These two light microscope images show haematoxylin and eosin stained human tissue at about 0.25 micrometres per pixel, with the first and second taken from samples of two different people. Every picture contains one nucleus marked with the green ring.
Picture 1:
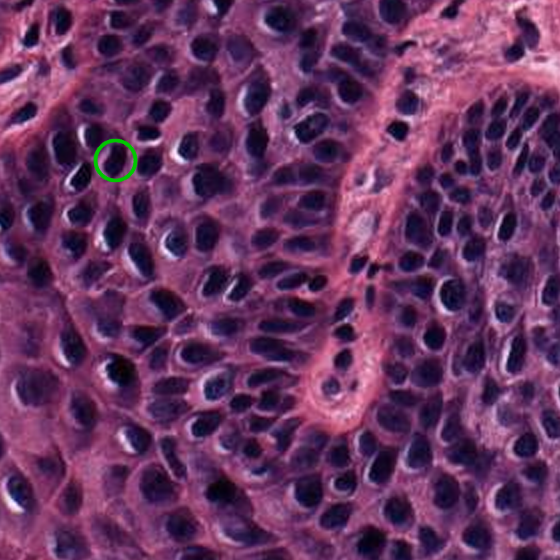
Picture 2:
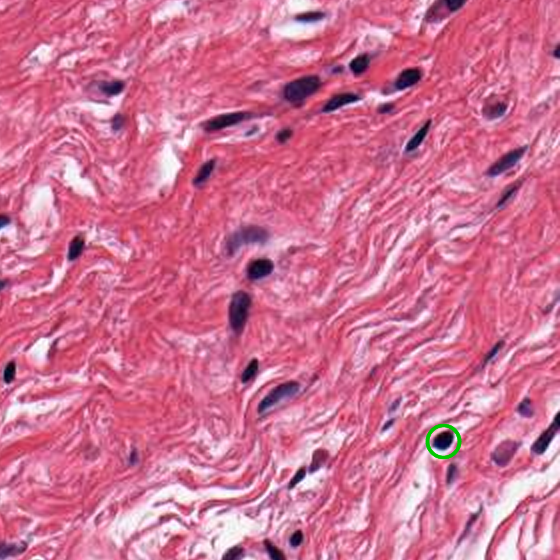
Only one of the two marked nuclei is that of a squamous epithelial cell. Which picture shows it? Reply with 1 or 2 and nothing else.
1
